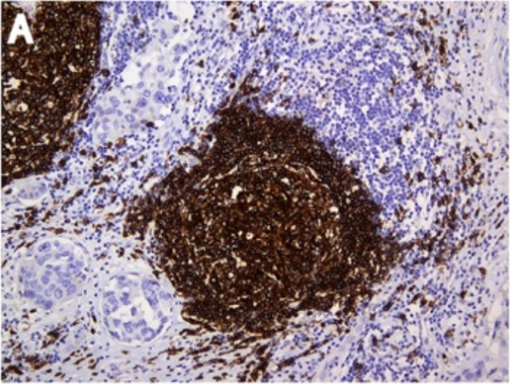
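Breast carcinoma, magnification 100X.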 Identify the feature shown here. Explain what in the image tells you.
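Tertiary lymphoid structures. A round lymphoid follicle lies within a dense lymphocytic infiltrate. Nests of large pale epithelial cells with round nuclei lie beside the follicle.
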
